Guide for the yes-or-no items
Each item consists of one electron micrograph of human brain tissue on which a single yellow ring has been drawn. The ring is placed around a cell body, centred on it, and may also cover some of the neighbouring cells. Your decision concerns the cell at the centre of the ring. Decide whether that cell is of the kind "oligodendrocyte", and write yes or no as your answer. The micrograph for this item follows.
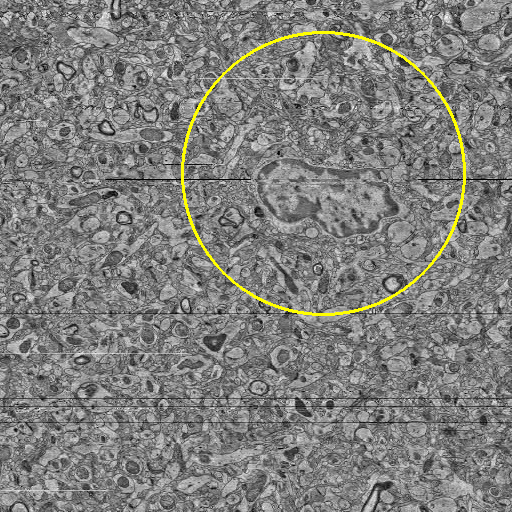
no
